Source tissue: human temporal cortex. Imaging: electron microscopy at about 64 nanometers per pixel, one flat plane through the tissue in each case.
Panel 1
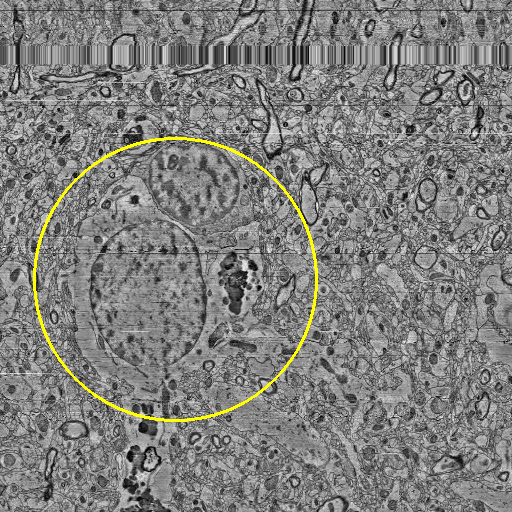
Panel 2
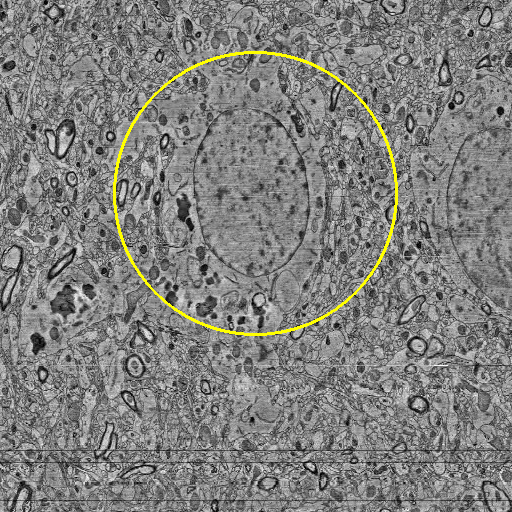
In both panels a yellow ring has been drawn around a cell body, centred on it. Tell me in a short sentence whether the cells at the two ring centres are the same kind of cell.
Yes, they are the same kind of cell.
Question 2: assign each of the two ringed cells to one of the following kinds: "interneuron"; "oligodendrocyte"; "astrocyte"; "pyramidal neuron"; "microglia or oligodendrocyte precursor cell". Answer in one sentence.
Both the first and the second picture show an astrocyte in the ring.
